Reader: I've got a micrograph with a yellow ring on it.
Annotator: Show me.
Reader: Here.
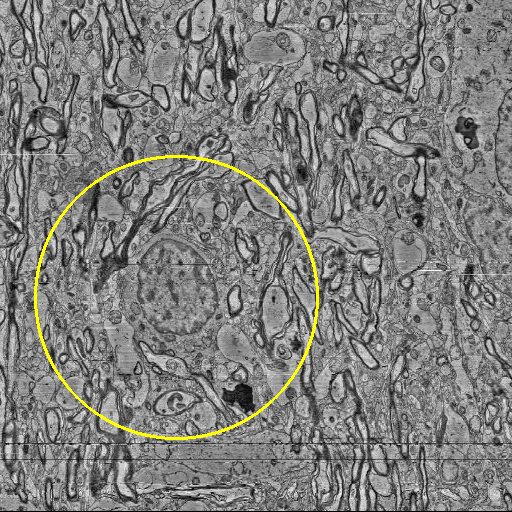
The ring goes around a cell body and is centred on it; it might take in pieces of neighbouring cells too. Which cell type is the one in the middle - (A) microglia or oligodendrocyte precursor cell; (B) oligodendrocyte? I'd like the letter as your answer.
B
